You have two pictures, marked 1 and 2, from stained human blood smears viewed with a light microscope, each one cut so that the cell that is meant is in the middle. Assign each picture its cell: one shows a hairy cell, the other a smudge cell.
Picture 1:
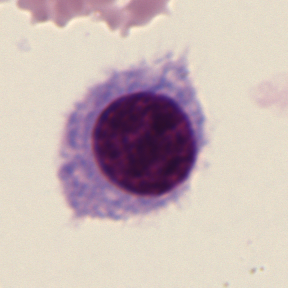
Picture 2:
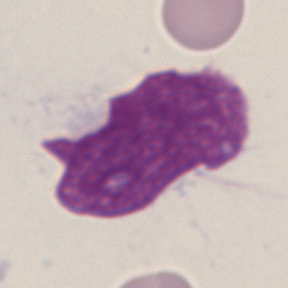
1: hairy cell
2: smudge cell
